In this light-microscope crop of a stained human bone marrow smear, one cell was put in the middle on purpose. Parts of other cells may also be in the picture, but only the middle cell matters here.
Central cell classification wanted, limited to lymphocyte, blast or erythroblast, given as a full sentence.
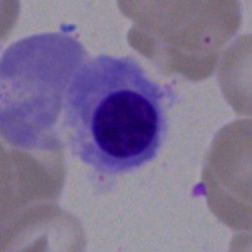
The target cell in the middle of the crop is an erythroblast.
